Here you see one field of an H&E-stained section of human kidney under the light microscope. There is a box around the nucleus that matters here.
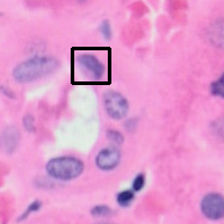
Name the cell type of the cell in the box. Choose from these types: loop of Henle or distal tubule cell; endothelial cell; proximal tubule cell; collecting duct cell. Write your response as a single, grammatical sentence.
In this tissue sample, the cell in the box is a collecting duct cell.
